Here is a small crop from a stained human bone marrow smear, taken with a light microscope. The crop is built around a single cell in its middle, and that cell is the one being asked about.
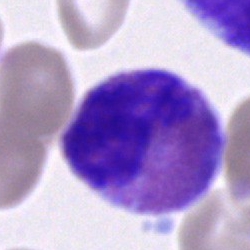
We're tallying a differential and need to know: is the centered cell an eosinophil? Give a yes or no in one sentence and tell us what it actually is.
Yes, shown in the middle of the crop is an eosinophil.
